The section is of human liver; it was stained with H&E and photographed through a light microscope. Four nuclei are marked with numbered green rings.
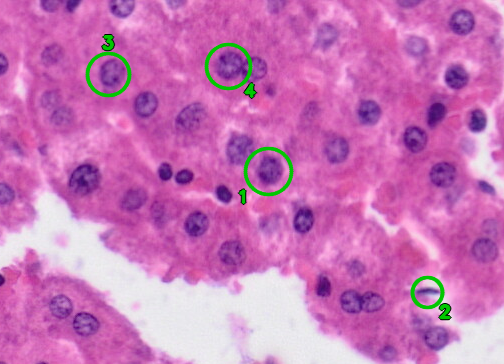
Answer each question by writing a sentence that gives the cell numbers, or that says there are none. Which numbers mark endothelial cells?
Across all the numbered cells, only number 2 is an endothelial cell.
